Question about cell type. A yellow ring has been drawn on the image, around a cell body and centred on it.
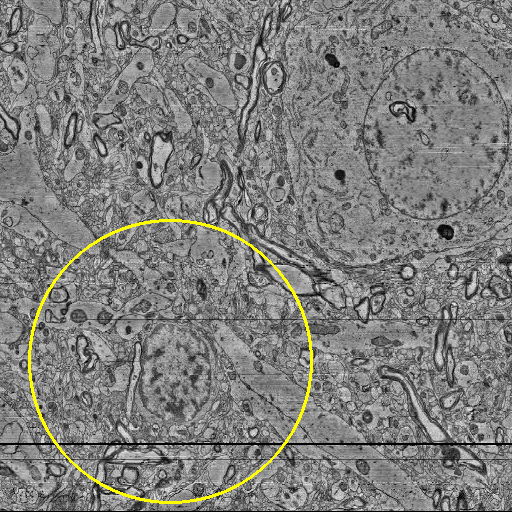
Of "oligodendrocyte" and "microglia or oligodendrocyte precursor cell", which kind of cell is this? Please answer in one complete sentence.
At the centre of the ring lies an oligodendrocyte.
